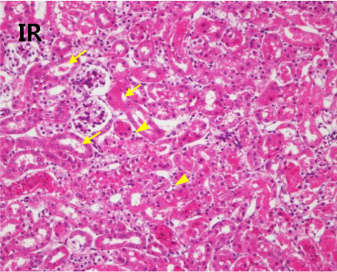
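This is kidney cortex with crowded renal tubules and a few glomeruli, stained pink with purple nuclei. Many tubules are lined by swollen, intensely pink epithelium, and several lumens contain pale or bright pink fragmented material. In places the tubular lining looks disrupted, with scattered nuclei and debris in the lumen. Small dark round nuclei lie in the spaces between tubules. Glomeruli appear as rounded tufts of closely packed purple nuclei within a clear capsular space.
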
